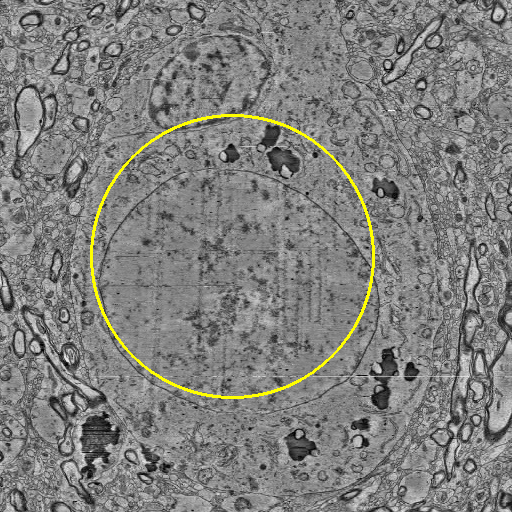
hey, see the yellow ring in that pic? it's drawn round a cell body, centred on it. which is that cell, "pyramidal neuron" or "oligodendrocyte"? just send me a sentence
The cell in the ring is a pyramidal neuron.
